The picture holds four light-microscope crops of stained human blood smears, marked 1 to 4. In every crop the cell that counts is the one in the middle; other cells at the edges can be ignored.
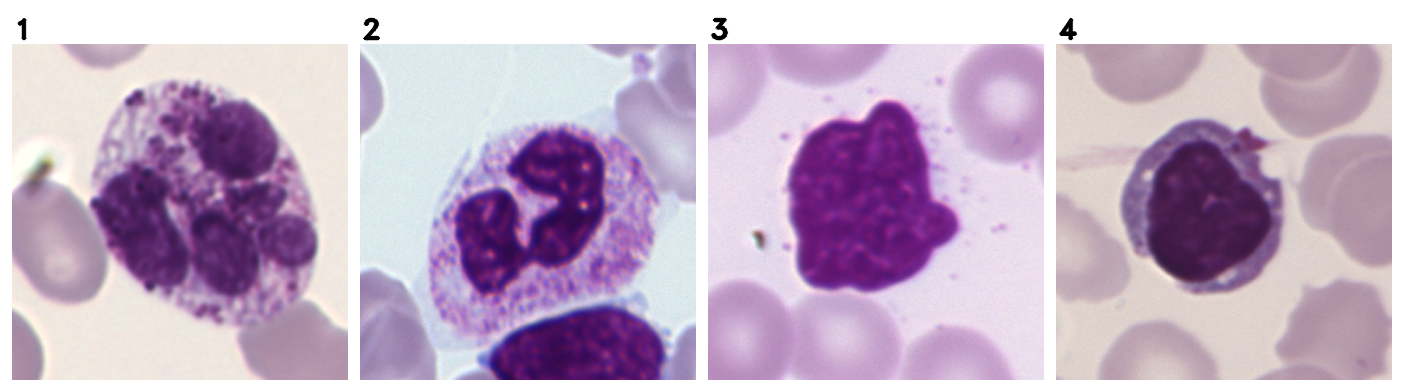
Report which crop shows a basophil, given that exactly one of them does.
1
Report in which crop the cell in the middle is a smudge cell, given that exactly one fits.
3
